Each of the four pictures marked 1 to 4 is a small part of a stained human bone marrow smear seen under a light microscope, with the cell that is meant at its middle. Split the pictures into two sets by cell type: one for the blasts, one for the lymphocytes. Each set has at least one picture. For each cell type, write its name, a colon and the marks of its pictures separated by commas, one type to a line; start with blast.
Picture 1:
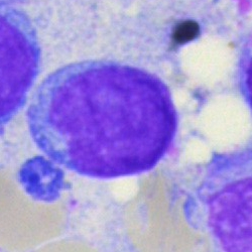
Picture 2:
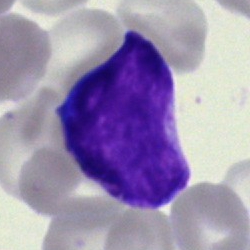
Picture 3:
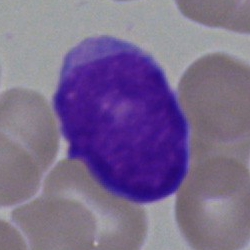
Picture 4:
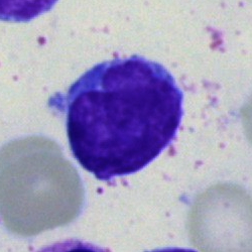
blast: 1, 2, 3
lymphocyte: 4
